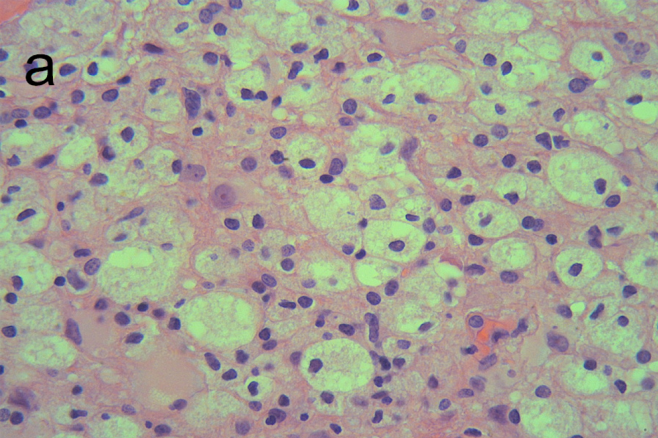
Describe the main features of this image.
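Hypercellular brain tissue crowded with large rounded cells whose pale, finely vacuolated cytoplasm surrounds a small dark round nucleus. Scattered between them are cells with plump, glassy pink cytoplasm, set in a pink fibrillary background with many small dark nuclei.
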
